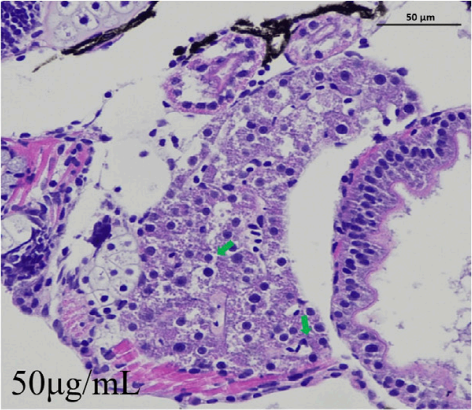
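A large lobe of liver fills the centre, made of polygonal hepatocytes with small round dark purple nuclei. Their pale pink-purple cytoplasm is granular and broken up by many small clear vacuoles, giving a foamy look. The lobe is surrounded by open spaces and neighbouring tissues, including a columnar epithelium on the right.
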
